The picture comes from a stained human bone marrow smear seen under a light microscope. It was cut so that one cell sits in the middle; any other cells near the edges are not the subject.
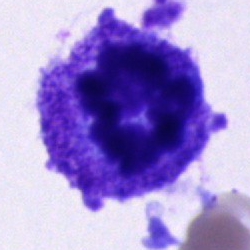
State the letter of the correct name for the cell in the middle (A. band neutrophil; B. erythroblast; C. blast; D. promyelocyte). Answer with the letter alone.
D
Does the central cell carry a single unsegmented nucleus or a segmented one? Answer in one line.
Two or more lobes make up the nucleus of this cell.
